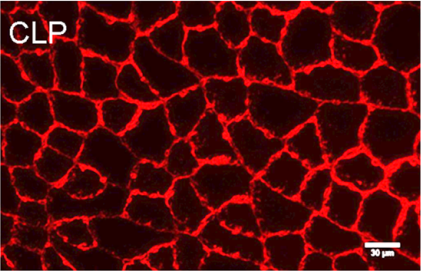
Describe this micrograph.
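Transverse section of skeletal muscle showing many muscle fibers cut in cross-section, each seen as a dark polygonal profile enclosed by a continuous red border. The fibers are packed closely in a mosaic, with red lines running between neighbours and thicker red spots where several fibers meet. Within the same field many fibers are visible, and their profiles look small and angular, varying somewhat in size and shape. The background inside the fibers has a faint reddish tinge rather than being fully black. No nuclei or internal structures of the fibers are shown.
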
